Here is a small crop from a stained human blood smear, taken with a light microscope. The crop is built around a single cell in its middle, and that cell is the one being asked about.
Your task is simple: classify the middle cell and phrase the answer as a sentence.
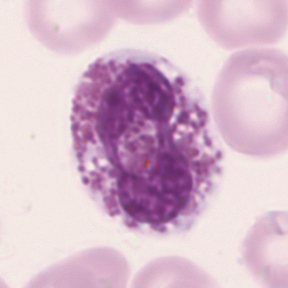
The crop centres on a single cell, and that cell is an eosinophil.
